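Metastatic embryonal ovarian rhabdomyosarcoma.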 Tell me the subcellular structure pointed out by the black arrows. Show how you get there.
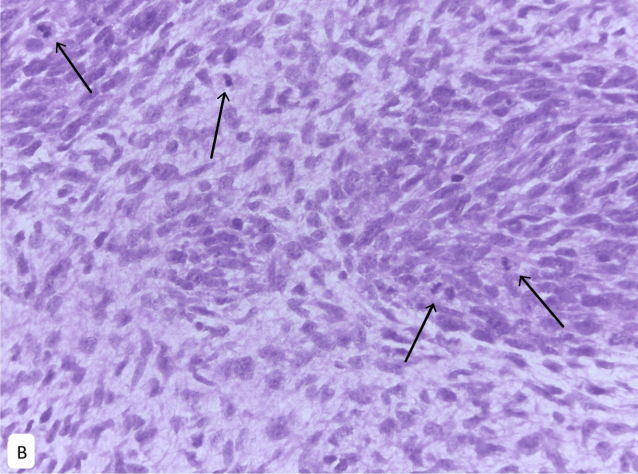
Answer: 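Mitotic figures. The arrows point to small dark condensed nuclear bodies. The marked nuclei are darker and more compact than neighbouring nuclei.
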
